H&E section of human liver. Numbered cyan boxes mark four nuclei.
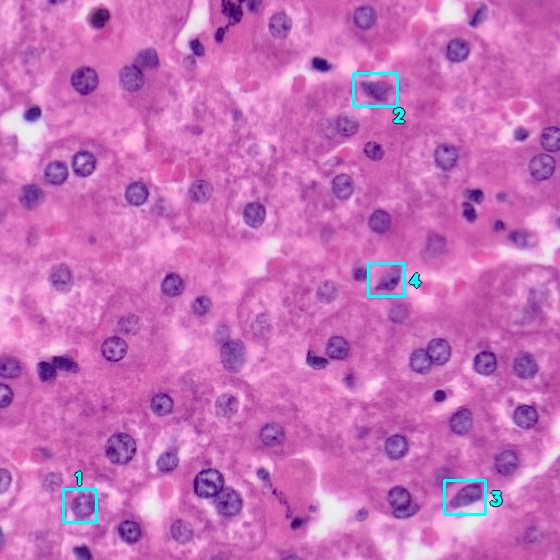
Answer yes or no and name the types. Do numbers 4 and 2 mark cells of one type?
Yes, cells 4 and 2 fall into the same group, both being endothelial cells.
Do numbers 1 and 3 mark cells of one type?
No, hold on, cell 1 is a hepatocyte and cell 3 is a Kupffer cell.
